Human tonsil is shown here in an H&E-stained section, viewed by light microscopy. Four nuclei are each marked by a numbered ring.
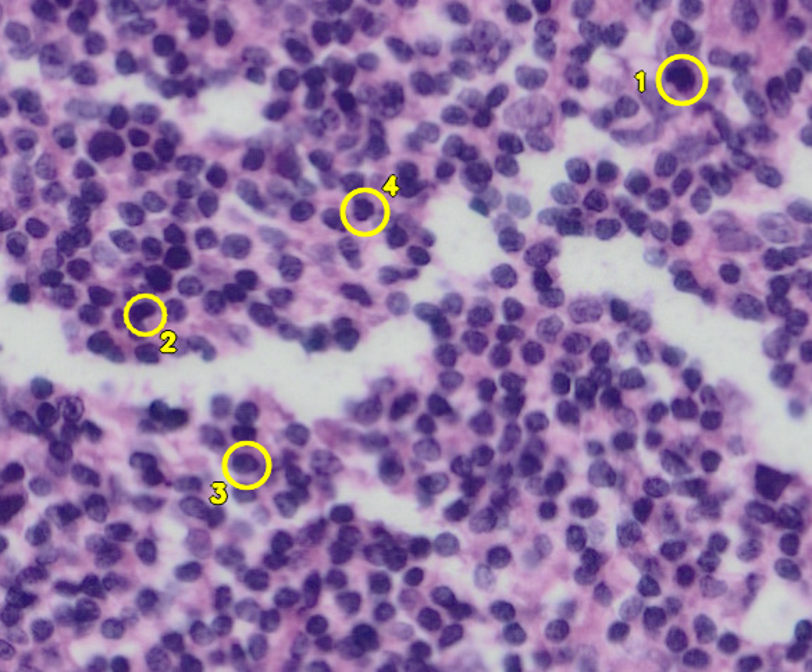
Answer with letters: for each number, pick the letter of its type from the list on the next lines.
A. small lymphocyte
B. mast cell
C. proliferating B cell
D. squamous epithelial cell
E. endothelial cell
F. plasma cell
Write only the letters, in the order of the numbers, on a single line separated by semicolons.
C; A; A; A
